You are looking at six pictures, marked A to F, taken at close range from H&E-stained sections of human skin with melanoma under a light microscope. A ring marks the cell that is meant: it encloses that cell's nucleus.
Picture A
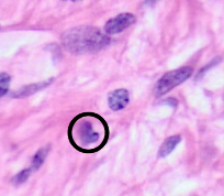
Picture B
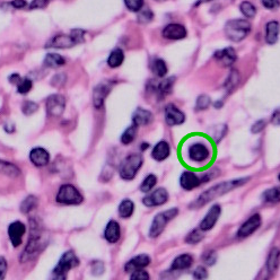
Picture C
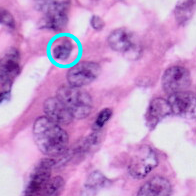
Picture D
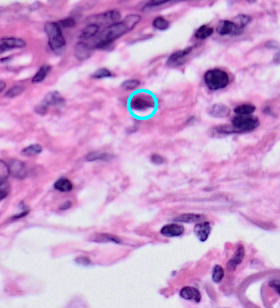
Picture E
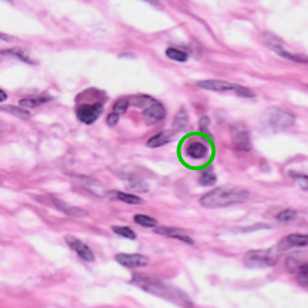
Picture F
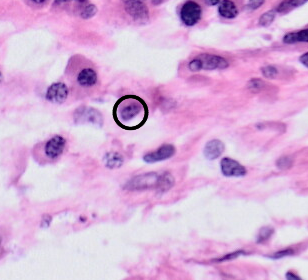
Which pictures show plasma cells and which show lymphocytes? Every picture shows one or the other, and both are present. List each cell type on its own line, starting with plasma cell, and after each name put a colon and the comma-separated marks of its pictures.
plasma cell: D, E, F
lymphocyte: A, B, C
